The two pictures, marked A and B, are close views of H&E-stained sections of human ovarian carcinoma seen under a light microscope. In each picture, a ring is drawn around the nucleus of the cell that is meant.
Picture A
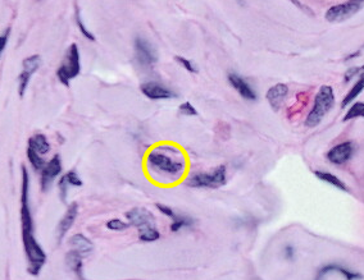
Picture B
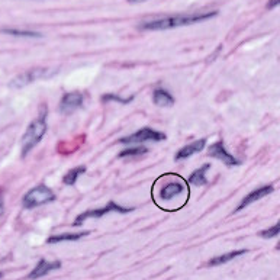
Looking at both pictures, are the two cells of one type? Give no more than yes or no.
no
